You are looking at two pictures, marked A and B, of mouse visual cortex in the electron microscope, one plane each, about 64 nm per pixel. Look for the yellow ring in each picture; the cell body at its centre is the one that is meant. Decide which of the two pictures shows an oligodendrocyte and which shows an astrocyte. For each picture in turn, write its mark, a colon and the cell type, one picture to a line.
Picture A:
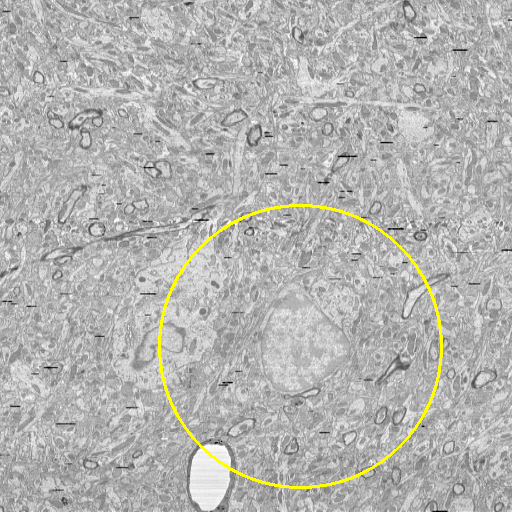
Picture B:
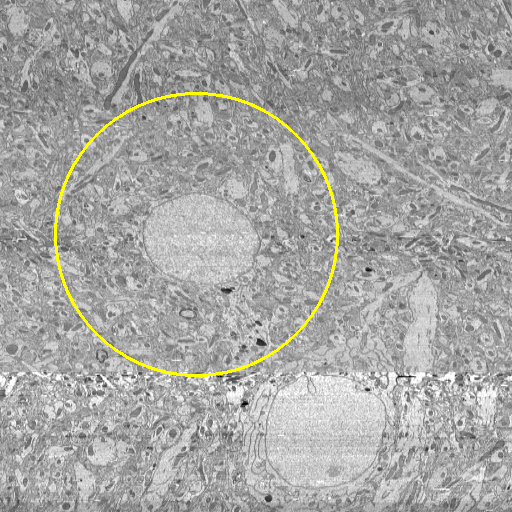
A: oligodendrocyte
B: astrocyte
